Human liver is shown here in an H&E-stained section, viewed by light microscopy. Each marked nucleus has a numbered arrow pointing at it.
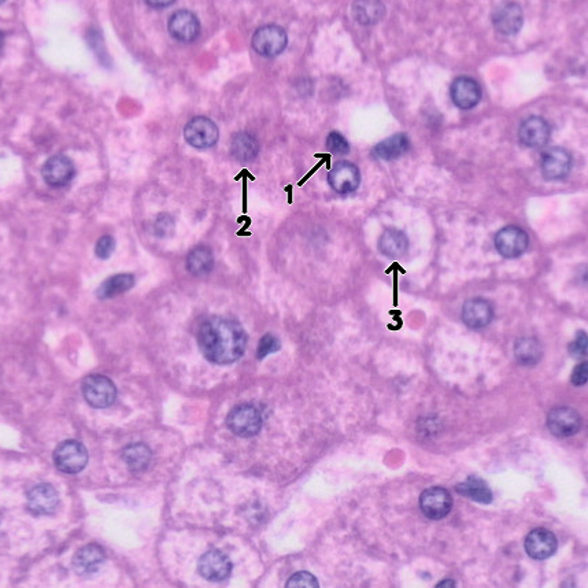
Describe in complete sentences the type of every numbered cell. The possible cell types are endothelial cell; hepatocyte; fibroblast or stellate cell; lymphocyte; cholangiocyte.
Cell 1 is a fibroblast or stellate cell, cell 2 is a hepatocyte and cell 3 is a hepatocyte.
